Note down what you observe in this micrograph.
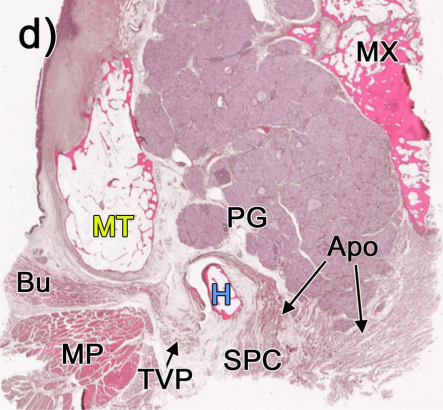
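This low-power section shows the region behind the upper jaw, dominated by a large mass of lobulated glandular tissue stained purple, its lobules separated by thin pale connective tissue septa. To the left of the glands lies a spongy bony prominence with thin pink trabeculae around wide pale marrow spaces, covered on its outer side by a mucosal surface. At the upper right a band of dense pink bone borders the glandular mass, and pale fibrous, tendon-like tissue fans out at the lower right.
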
